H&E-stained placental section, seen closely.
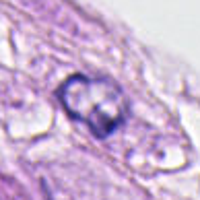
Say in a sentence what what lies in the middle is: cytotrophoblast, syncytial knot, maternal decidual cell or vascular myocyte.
This is a maternal decidual cell.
